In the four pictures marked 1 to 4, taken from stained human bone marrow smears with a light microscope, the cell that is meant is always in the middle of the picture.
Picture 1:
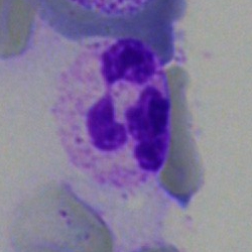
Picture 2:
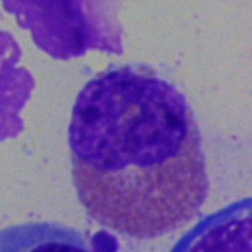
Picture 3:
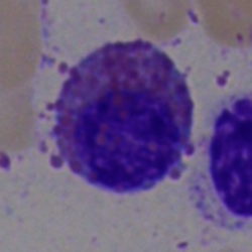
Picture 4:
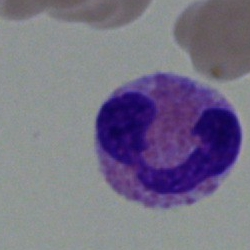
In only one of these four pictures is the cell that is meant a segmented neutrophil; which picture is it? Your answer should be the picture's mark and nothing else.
1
